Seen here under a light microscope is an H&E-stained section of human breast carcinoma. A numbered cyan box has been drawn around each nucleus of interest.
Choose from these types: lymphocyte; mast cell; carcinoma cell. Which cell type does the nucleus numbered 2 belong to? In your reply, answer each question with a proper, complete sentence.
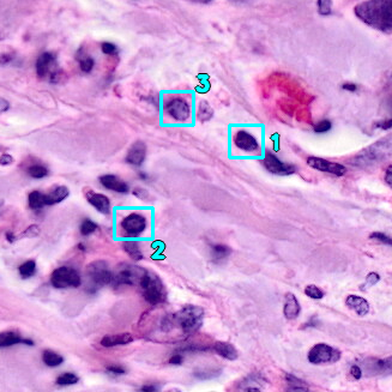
The cell bearing label 2 corresponds to a lymphocyte.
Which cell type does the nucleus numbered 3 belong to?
Among the marked cells, number 3 is a mast cell.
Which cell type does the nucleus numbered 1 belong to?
The cell indicated by marker 1 is a lymphocyte in this section.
